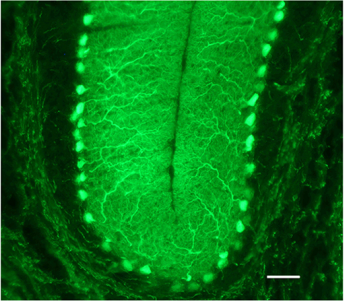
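Along both banks of a folded cleft runs a single row of large, bright green, rounded cell bodies, evenly spaced. From each body a dense, finely branching arbor extends inward, so the wide band between the two rows is filled with a bright green meshwork. These are Purkinje neurons with their dendrites forming a thick molecular layer on either side of the fissure.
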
